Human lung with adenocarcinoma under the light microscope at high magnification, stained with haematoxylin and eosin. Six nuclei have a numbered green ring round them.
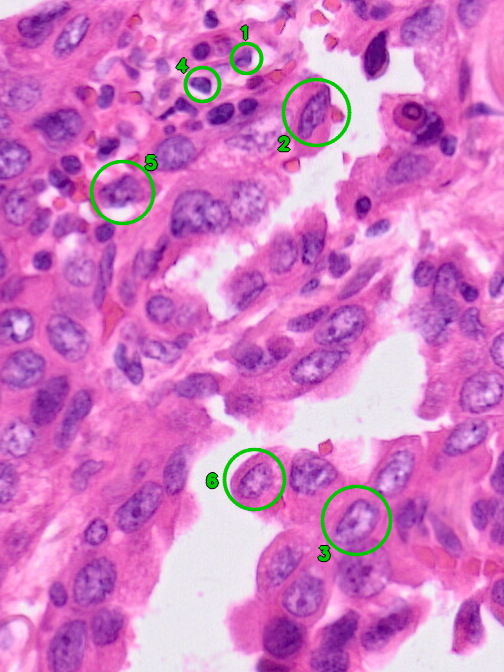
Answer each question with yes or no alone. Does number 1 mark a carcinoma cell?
no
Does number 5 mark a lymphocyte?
no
